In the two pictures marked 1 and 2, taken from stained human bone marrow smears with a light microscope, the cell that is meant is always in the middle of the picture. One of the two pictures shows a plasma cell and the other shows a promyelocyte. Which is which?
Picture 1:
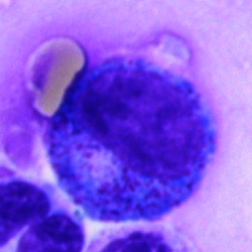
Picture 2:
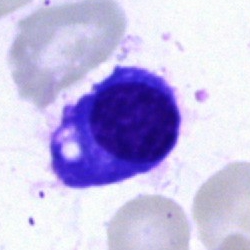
1: promyelocyte
2: plasma cell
